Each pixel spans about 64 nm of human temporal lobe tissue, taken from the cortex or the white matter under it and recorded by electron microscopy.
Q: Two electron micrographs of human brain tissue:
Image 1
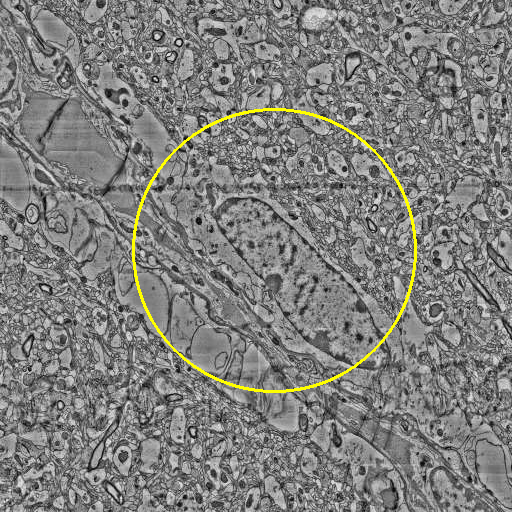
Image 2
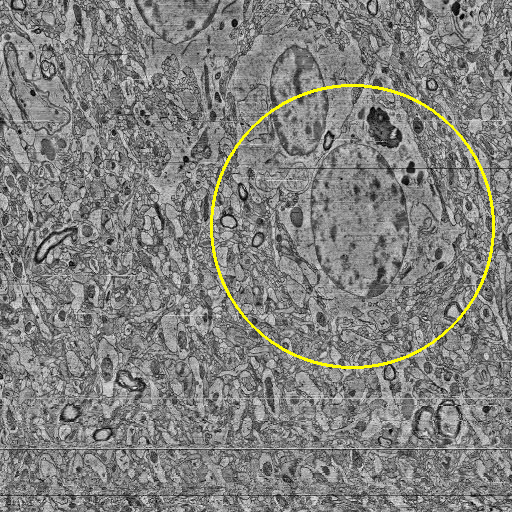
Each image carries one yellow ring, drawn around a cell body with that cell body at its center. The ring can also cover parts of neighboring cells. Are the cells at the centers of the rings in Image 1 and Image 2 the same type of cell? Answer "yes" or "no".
no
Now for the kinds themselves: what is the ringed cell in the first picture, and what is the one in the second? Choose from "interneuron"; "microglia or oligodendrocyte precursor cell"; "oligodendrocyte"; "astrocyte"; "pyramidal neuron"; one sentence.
Here the first cell is a microglial cell or oligodendrocyte precursor cell and the second cell is an astrocyte.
